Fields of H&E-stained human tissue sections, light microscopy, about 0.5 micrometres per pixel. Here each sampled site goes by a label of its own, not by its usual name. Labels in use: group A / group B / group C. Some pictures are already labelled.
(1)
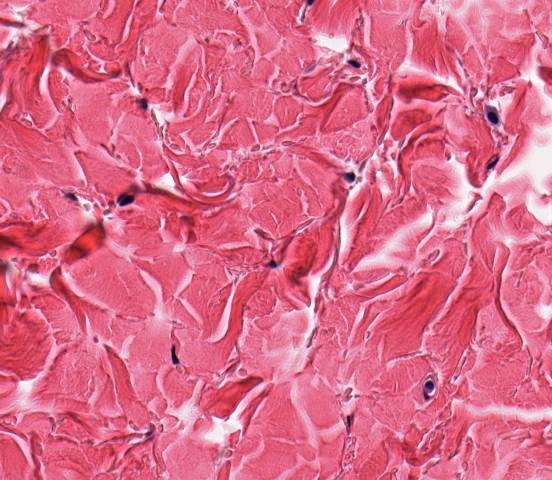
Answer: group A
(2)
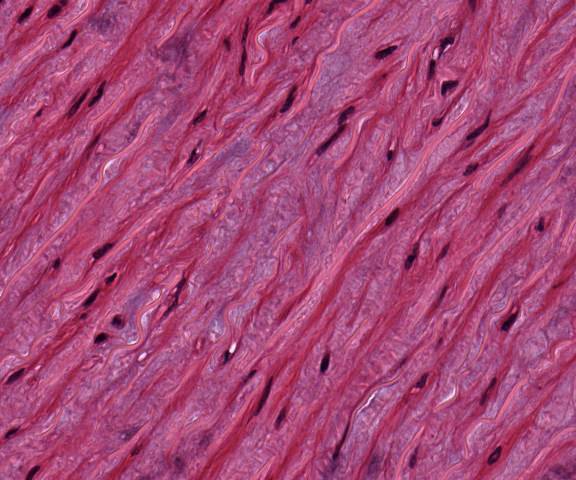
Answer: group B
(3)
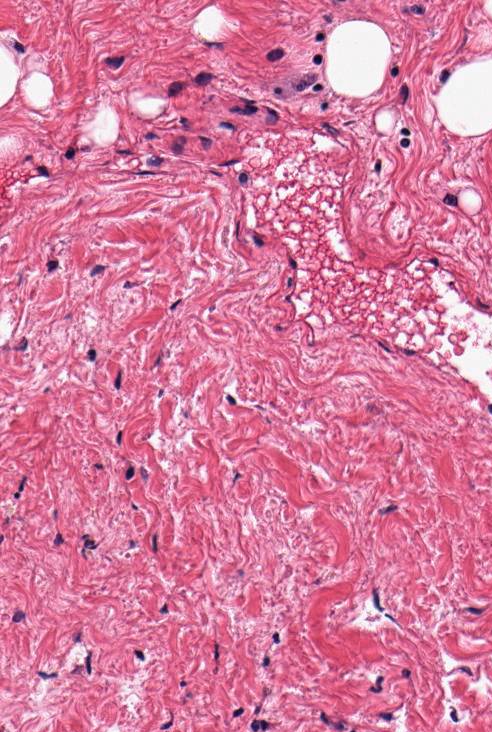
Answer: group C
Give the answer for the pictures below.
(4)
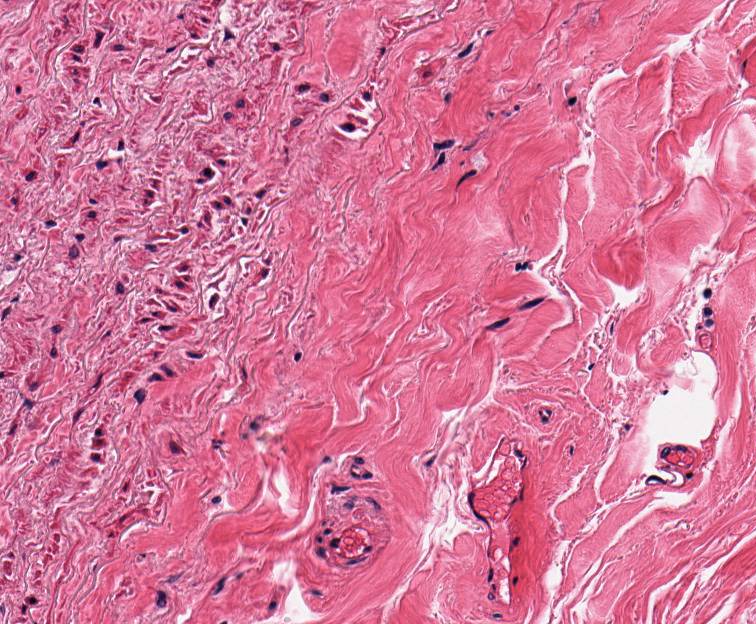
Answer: group B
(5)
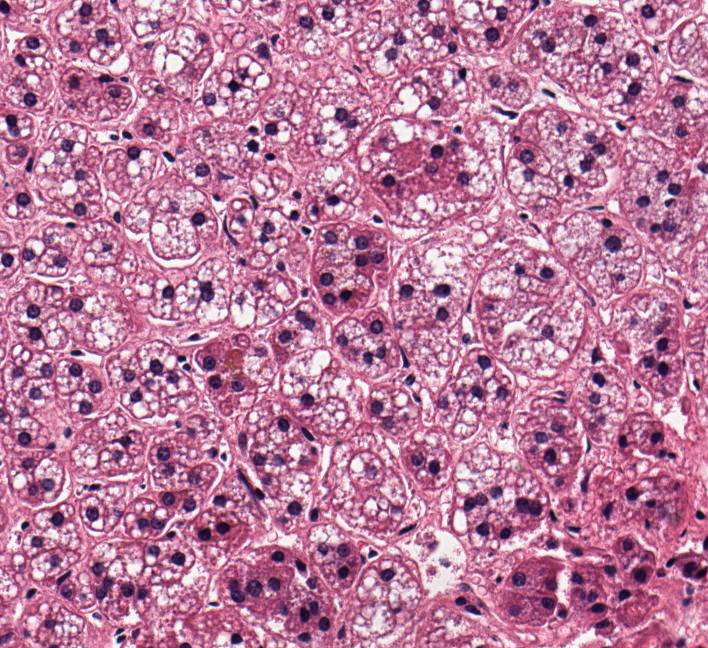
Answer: group C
